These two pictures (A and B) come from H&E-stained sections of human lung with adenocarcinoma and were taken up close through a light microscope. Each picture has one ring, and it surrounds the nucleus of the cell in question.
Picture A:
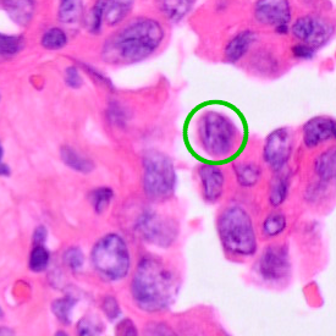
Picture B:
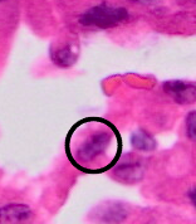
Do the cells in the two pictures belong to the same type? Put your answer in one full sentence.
No. Picture A shows a carcinoma cell, but picture B shows a “macrophage or monocyte”.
